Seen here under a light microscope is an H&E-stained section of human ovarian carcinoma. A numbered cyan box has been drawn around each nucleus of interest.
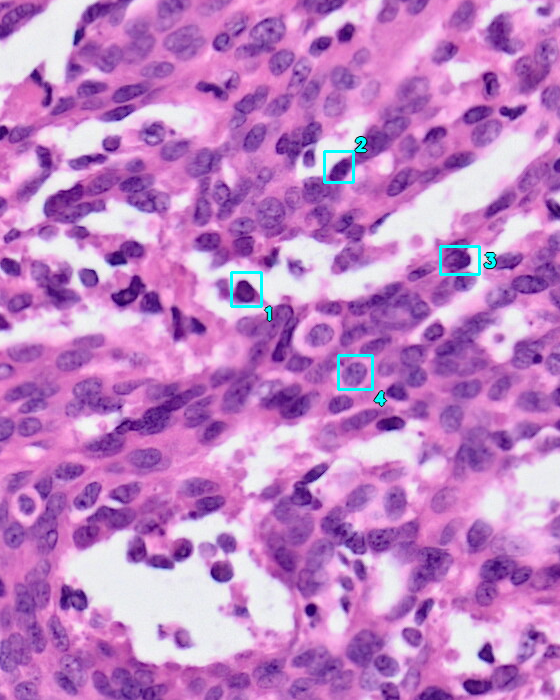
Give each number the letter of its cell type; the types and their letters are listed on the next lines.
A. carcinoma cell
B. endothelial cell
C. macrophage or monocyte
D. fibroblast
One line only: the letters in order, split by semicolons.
A; A; A; C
